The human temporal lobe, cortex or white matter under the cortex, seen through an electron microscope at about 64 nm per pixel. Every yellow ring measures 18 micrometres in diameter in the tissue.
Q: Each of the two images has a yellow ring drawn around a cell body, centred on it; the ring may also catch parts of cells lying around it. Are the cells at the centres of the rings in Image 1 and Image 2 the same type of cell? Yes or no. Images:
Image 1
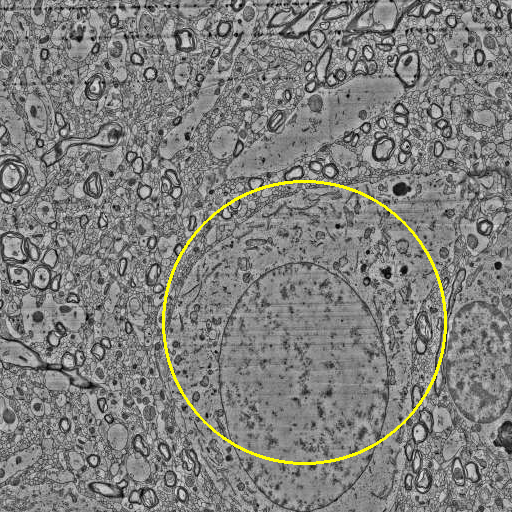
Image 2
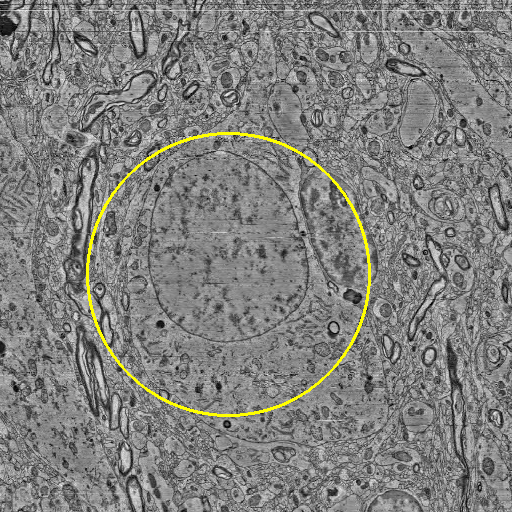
yes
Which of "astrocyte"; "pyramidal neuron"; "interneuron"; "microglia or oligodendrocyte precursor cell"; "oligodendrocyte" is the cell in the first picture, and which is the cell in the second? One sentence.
The first and the second cell are each a pyramidal neuron.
